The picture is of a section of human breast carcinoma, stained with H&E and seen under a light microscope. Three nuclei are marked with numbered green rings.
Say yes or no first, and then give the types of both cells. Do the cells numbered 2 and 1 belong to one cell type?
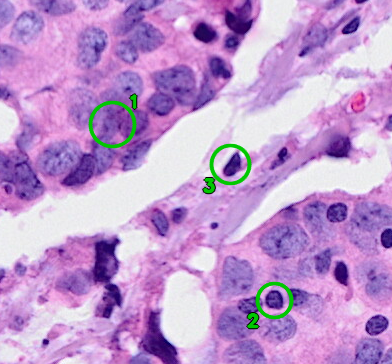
No, with respect, cell 2 is a lymphocyte and cell 1 is a carcinoma cell.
